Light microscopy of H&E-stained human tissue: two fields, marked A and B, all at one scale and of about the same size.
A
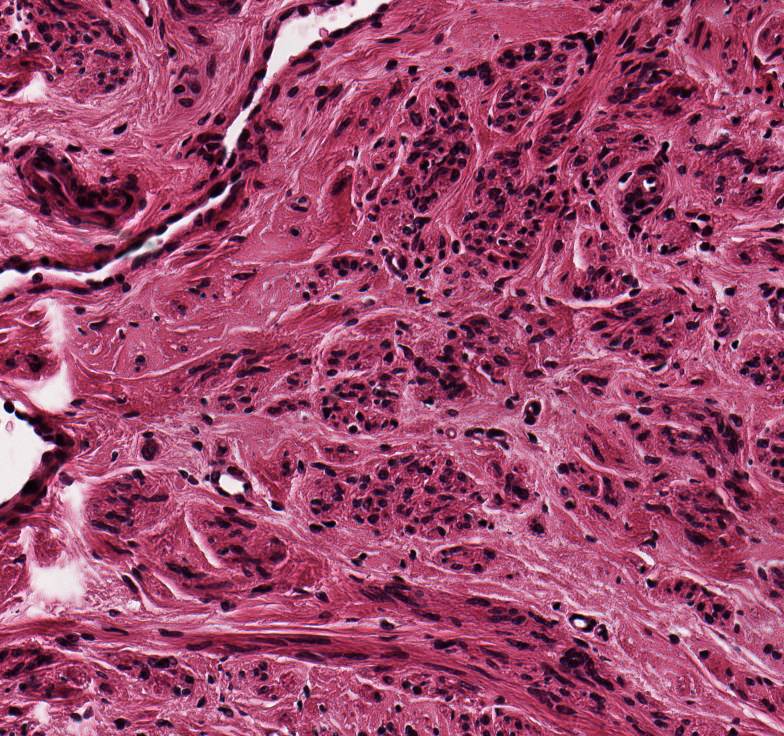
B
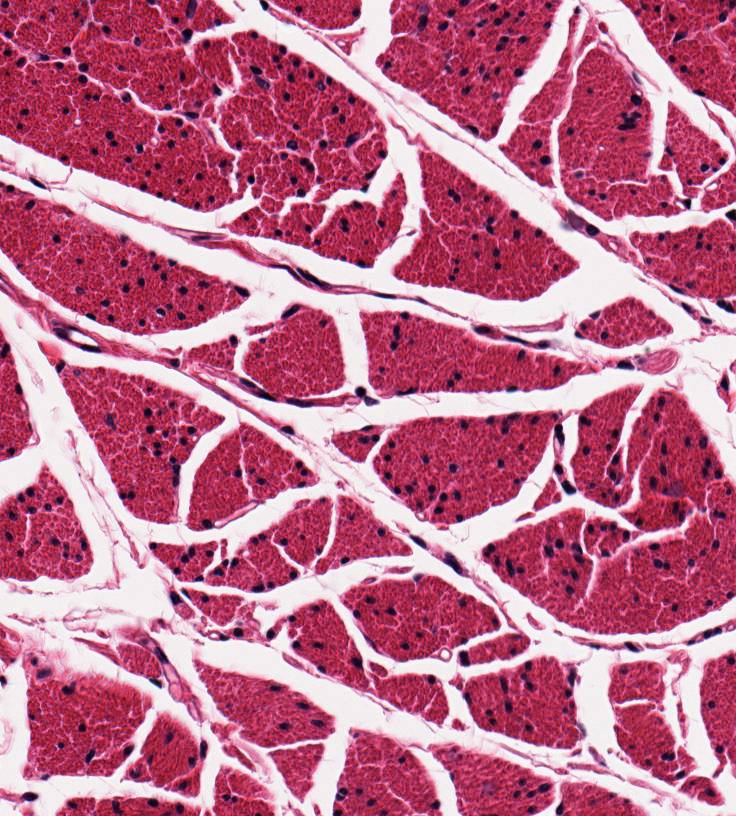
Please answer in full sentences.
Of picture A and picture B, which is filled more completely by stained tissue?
Unstained space takes up less of picture A than of picture B.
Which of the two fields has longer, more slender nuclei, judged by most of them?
Longer, more slender nuclei lie in picture A.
